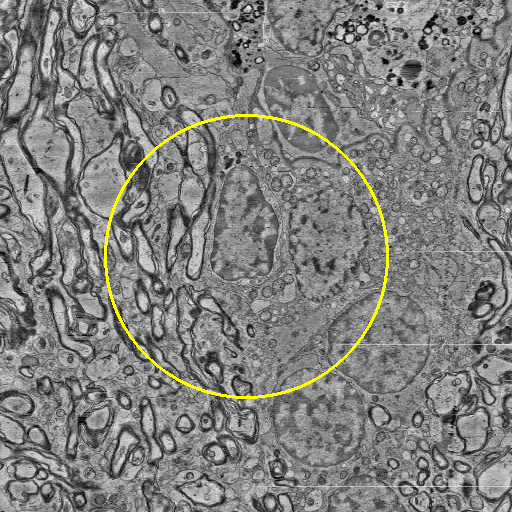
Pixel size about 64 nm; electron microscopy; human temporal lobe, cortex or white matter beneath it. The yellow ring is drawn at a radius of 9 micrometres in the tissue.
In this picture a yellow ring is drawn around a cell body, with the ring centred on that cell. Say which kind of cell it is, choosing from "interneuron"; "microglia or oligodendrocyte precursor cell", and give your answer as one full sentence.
Here it is a microglial cell or oligodendrocyte precursor cell that sits at the centre of the drawn yellow ring.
